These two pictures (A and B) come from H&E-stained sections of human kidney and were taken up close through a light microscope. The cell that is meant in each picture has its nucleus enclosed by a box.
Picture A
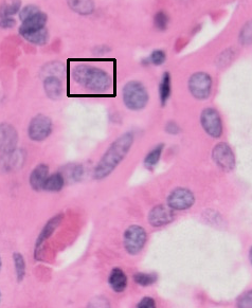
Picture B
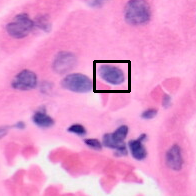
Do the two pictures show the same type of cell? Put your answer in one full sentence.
No, they differ: the cell is a collecting duct cell in picture A and an endothelial cell in picture B.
